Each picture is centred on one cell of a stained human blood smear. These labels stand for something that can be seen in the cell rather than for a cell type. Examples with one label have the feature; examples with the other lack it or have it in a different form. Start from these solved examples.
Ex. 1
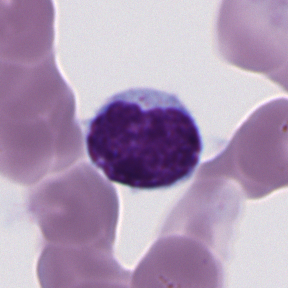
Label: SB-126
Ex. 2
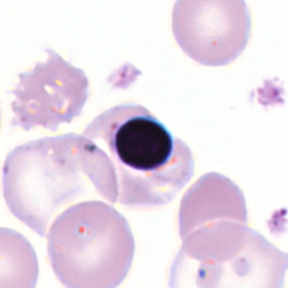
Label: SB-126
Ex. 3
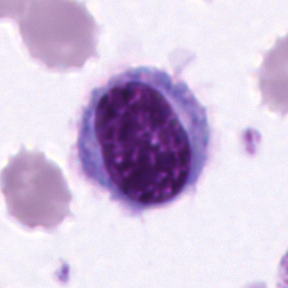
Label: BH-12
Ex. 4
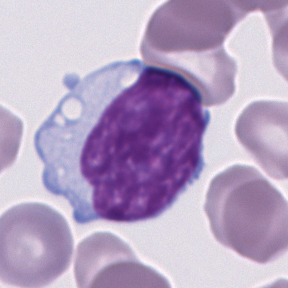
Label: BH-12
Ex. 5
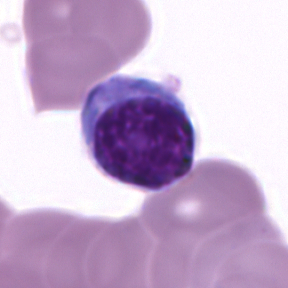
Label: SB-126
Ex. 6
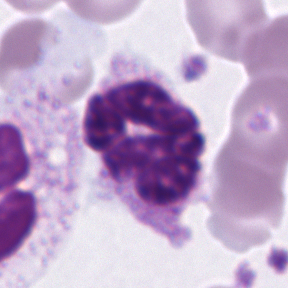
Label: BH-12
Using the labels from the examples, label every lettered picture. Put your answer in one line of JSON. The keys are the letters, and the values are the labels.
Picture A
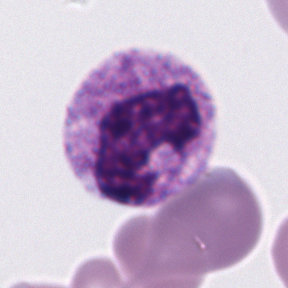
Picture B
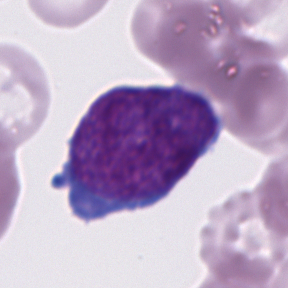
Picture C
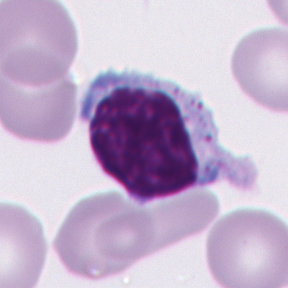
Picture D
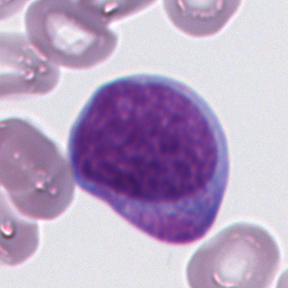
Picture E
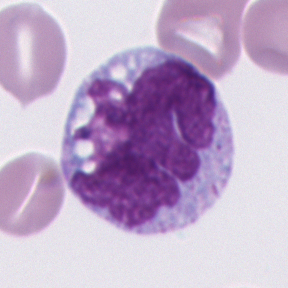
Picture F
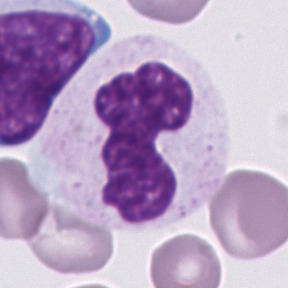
{"A": "SB-126", "B": "BH-12", "C": "BH-12", "D": "SB-126", "E": "SB-126", "F": "SB-126"}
